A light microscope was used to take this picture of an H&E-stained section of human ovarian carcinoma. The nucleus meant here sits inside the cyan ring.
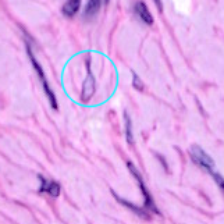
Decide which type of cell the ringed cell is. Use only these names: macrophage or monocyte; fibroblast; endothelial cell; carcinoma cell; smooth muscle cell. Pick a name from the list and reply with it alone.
fibroblast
